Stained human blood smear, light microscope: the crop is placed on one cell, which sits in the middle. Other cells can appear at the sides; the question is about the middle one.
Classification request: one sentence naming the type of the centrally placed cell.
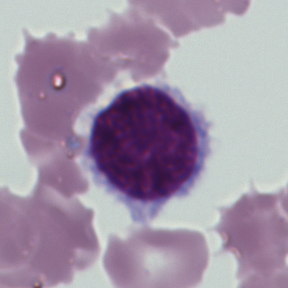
The cell featured at the centre of this crop is a hairy cell.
